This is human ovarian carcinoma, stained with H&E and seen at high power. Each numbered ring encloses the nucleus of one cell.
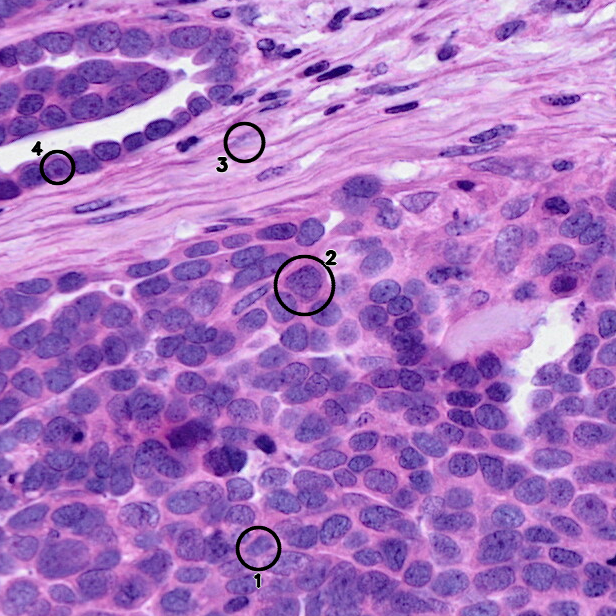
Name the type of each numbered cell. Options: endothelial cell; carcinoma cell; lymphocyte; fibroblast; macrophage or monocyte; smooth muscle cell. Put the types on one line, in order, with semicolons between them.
carcinoma cell; carcinoma cell; fibroblast; carcinoma cell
